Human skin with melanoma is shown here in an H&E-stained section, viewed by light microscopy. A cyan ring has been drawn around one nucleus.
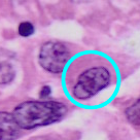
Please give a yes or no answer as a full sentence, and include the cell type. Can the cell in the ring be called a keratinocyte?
No, the cell in the ring is best named a melanoma cell, not a keratinocyte.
